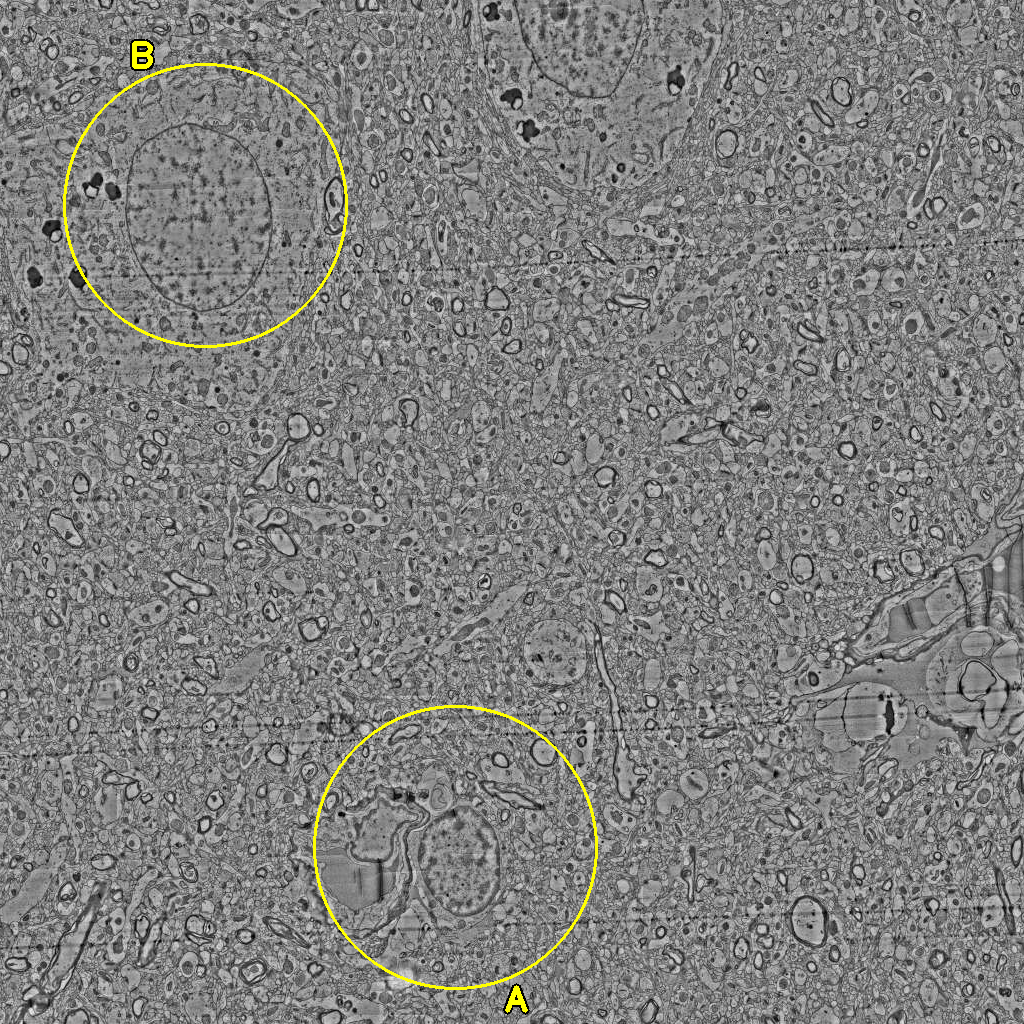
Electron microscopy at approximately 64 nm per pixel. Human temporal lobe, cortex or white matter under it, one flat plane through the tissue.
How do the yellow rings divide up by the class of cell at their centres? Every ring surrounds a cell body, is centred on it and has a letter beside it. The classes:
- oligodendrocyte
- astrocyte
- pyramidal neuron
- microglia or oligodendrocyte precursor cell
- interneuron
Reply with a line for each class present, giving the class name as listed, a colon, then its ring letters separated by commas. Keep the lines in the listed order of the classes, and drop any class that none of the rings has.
oligodendrocyte: A
pyramidal neuron: B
